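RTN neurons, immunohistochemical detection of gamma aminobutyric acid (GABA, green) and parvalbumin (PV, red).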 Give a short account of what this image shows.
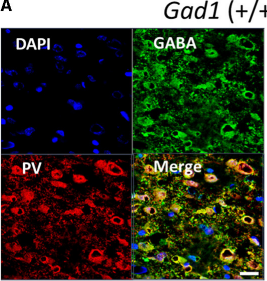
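Rounded to oval cell bodies stand out clearly in the red and green channels, with the label filling the cytoplasm around a darker central nucleus. Small blue nuclei are scattered through the field. In the merged quadrant, many of the labeled cell bodies appear yellow to orange where the green and red labels overlap. Between the cell bodies, the surrounding neuropil carries a finer, more diffuse red and green label.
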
